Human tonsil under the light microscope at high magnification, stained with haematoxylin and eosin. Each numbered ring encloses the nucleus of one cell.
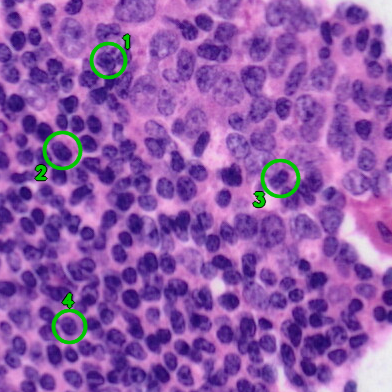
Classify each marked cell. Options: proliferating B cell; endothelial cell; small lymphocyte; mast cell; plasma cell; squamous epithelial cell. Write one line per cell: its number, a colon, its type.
1: proliferating B cell
2: small lymphocyte
3: proliferating B cell
4: small lymphocyte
